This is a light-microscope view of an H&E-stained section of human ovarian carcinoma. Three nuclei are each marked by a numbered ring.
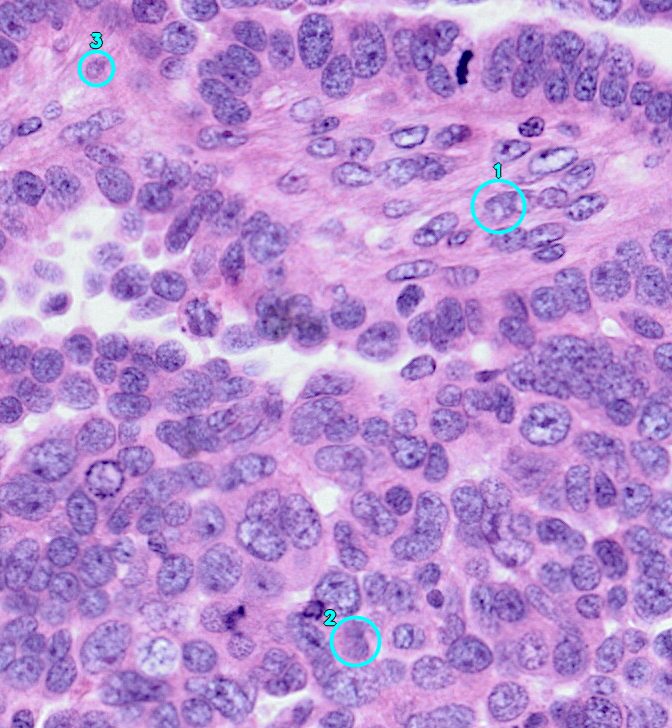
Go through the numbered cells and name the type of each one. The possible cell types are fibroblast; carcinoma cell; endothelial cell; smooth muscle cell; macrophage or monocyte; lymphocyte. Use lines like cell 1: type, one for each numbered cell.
cell 1: fibroblast
cell 2: carcinoma cell
cell 3: fibroblast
